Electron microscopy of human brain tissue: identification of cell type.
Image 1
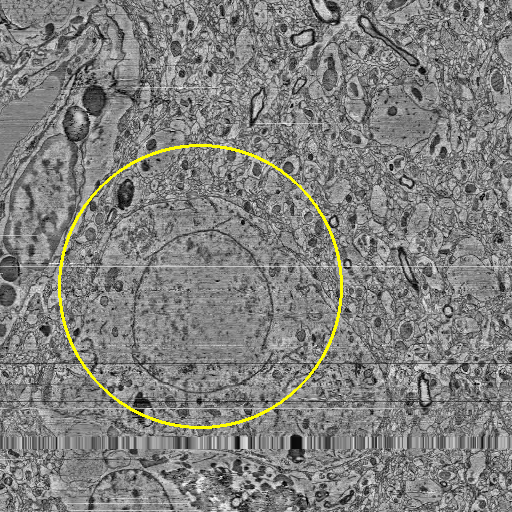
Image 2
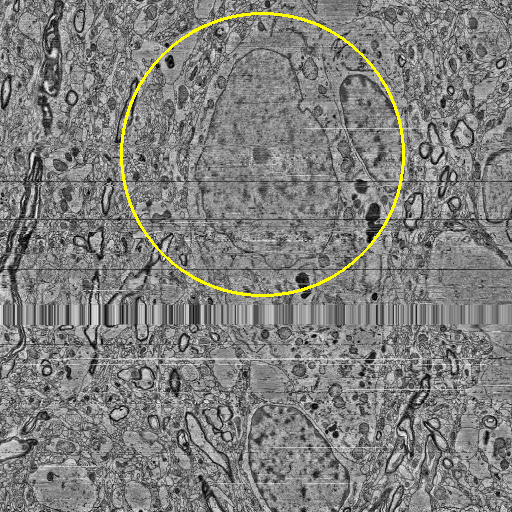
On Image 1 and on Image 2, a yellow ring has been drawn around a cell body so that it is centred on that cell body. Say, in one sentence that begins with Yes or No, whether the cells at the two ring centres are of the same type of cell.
Yes, both cells are the same type of cell.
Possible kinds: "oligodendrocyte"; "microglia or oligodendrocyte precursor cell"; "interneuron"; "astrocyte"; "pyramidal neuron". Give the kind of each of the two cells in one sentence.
The first and the second cell are each a pyramidal neuron.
